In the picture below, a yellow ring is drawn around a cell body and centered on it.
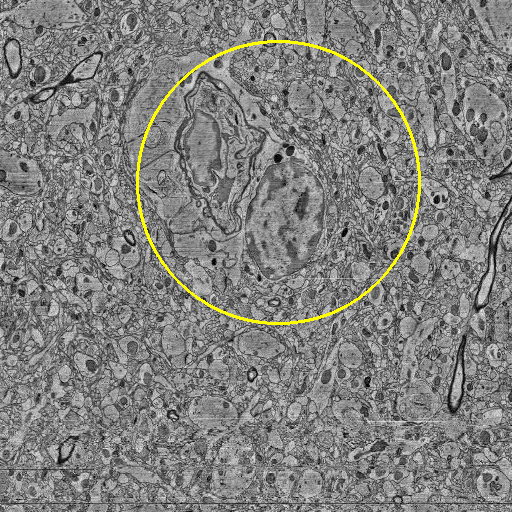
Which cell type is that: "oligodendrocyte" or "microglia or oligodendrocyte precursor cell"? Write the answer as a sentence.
The cell centered in the ring is a microglial cell or oligodendrocyte precursor cell.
